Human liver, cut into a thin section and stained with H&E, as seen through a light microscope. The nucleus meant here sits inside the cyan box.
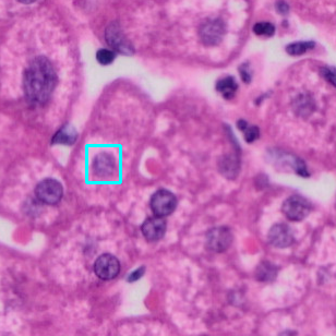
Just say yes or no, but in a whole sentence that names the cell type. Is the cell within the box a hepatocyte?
Yes, the statement that the cell within the box is a hepatocyte is correct.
